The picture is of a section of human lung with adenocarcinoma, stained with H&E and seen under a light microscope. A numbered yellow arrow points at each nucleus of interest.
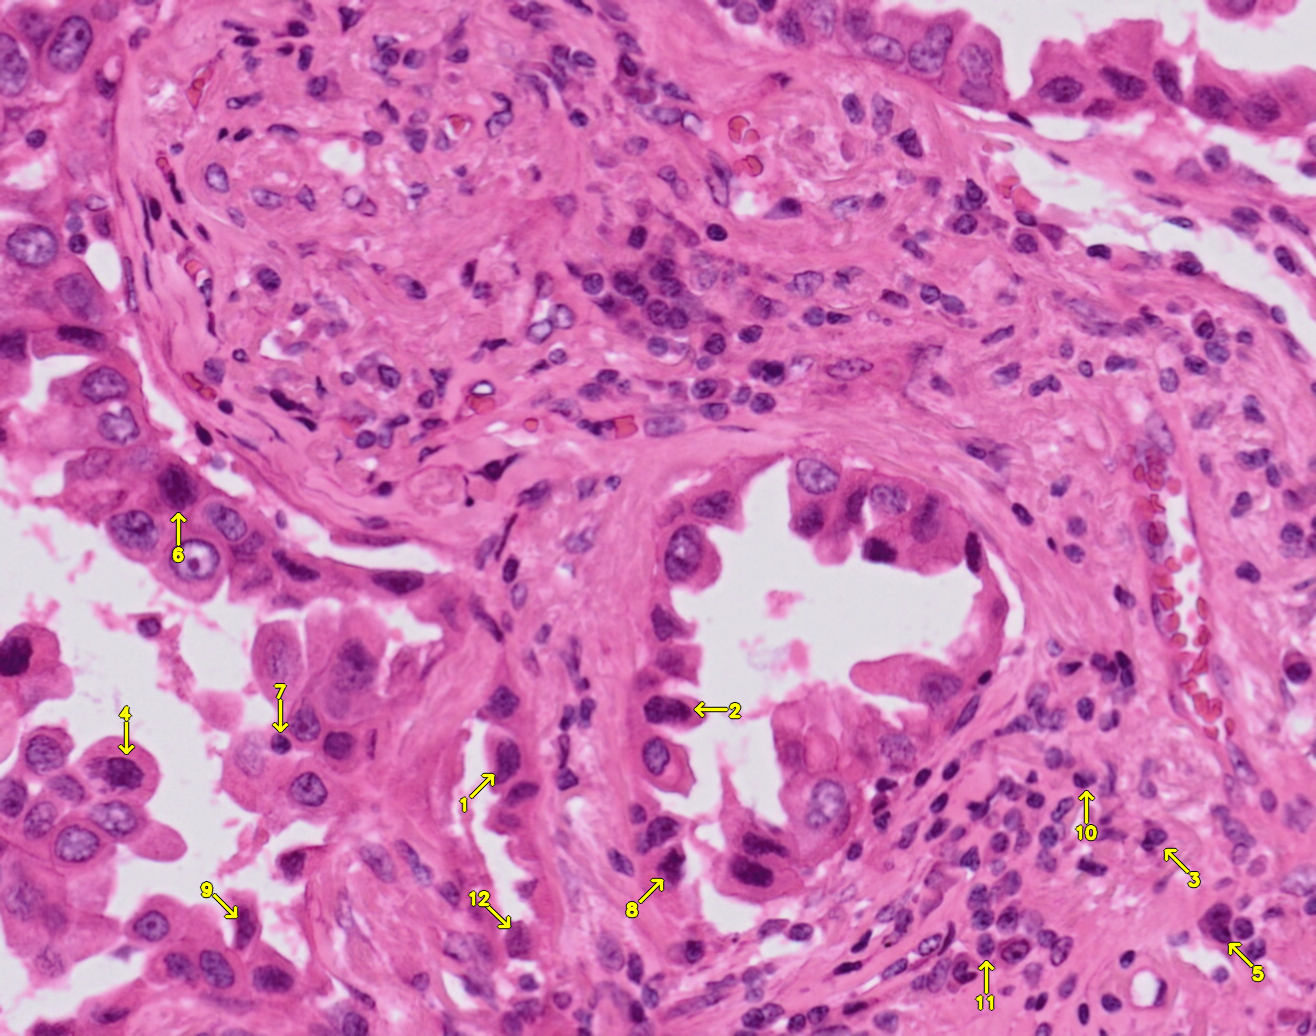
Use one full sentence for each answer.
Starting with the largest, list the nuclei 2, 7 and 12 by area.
The nuclei rank 2, 12, 7, from largest to smallest.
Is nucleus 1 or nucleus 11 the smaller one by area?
Number 11 is smaller, since number 1 takes up about 3 times as much area.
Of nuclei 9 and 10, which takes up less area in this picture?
Number 10 is smaller, since number 9 takes up about 1.5 times as much area.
